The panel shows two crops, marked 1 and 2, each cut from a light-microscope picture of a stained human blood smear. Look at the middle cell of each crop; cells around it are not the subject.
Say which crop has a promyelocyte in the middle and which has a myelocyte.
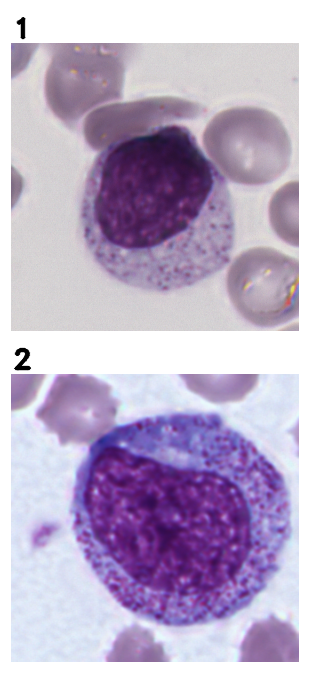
1: myelocyte
2: promyelocyte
